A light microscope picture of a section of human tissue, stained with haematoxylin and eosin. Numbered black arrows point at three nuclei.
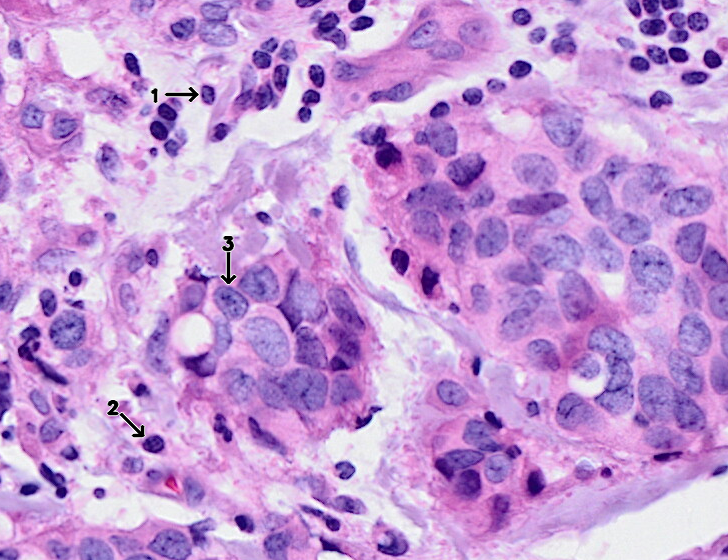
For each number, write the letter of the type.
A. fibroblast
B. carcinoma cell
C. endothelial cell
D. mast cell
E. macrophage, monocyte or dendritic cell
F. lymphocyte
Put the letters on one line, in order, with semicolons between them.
F; F; B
